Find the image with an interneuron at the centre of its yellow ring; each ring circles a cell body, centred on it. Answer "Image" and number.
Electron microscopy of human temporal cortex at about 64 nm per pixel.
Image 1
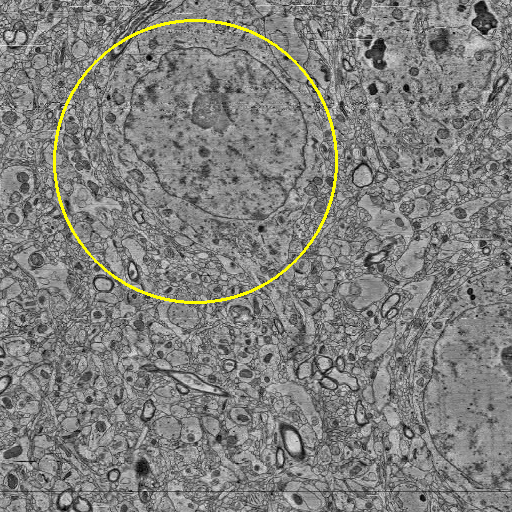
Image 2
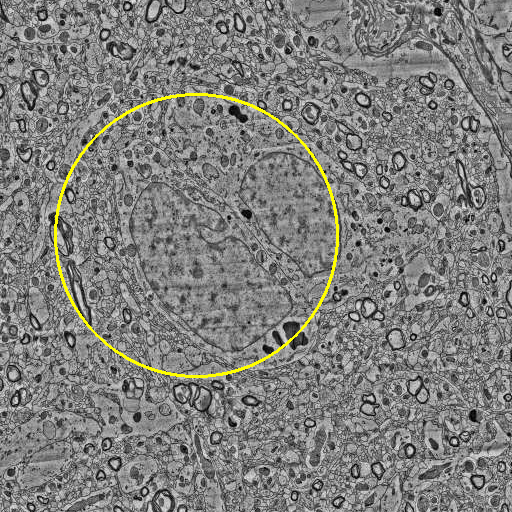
Image 2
